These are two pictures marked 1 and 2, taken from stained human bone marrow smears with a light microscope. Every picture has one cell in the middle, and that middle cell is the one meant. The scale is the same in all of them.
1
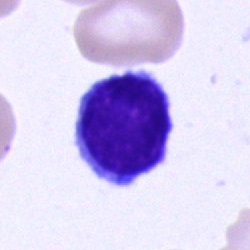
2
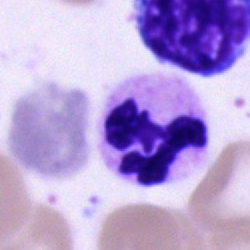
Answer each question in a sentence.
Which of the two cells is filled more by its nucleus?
The nucleus fills more of the cell in crop 1 than in crop 2.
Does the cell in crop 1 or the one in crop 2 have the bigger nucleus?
The nucleus in crop 1 is larger, with about 1.5 times the area of the one in crop 2.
